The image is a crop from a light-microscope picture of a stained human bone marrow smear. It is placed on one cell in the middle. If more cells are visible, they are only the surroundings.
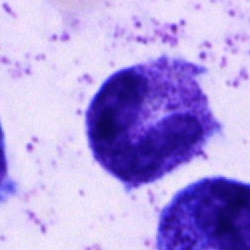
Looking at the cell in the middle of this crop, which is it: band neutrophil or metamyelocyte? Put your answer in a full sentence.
The single cell at the center of the crop is a band neutrophil.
